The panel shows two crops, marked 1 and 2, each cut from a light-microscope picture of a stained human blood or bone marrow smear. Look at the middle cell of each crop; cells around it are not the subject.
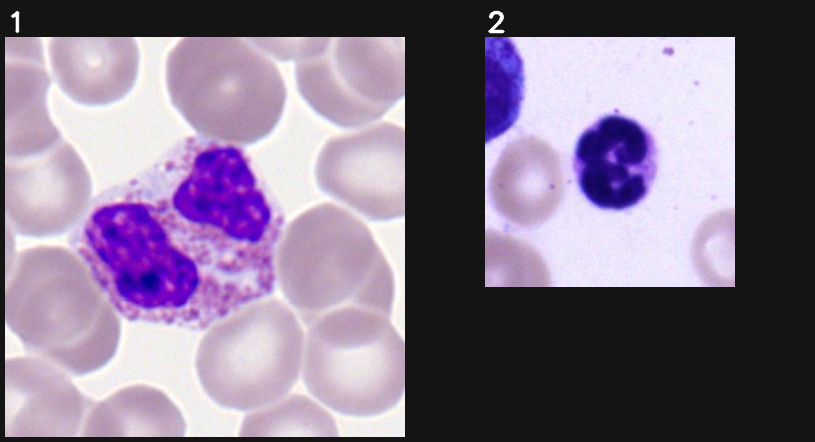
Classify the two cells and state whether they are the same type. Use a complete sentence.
No, it is an eosinophil in crop 1 and a neutrophil in crop 2.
